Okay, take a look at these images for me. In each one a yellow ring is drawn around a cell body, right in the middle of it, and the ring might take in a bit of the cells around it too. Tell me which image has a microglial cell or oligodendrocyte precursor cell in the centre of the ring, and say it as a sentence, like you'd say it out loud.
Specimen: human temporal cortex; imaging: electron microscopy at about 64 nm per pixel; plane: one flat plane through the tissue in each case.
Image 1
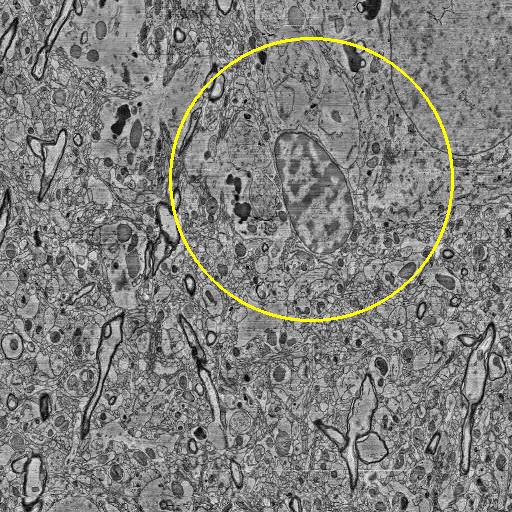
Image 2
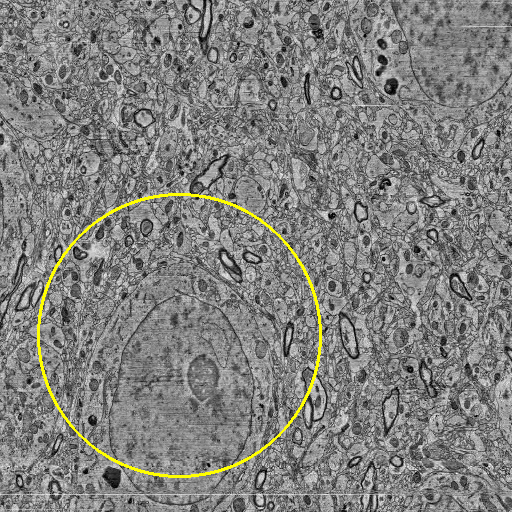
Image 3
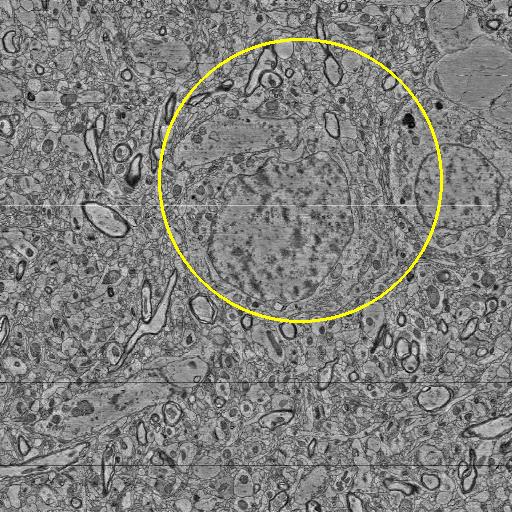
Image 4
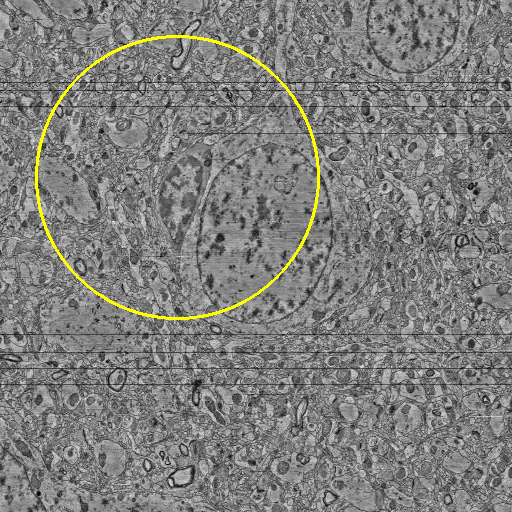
Image 1 is the one with it in the centre of the ring.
